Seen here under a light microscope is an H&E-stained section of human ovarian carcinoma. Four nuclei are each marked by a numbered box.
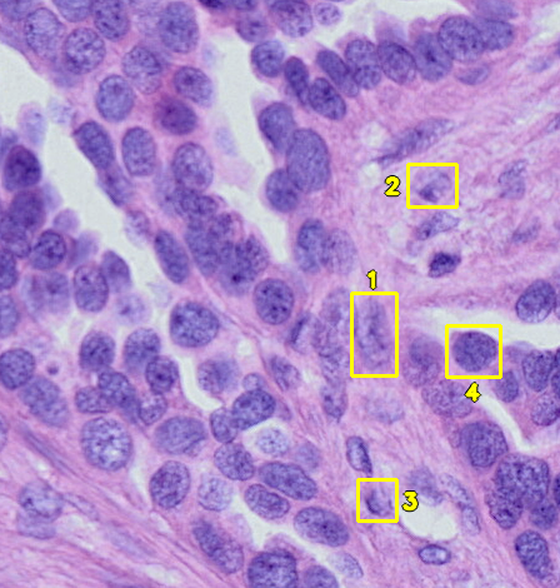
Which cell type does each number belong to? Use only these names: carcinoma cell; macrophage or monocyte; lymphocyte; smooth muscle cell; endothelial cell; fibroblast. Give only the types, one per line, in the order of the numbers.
fibroblast
fibroblast
fibroblast
carcinoma cell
